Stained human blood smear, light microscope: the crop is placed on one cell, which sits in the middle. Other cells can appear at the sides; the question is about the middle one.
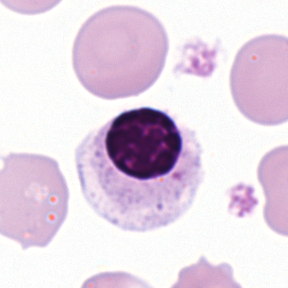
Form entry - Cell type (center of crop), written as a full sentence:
The centrally located cell in the crop is a normoblast.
